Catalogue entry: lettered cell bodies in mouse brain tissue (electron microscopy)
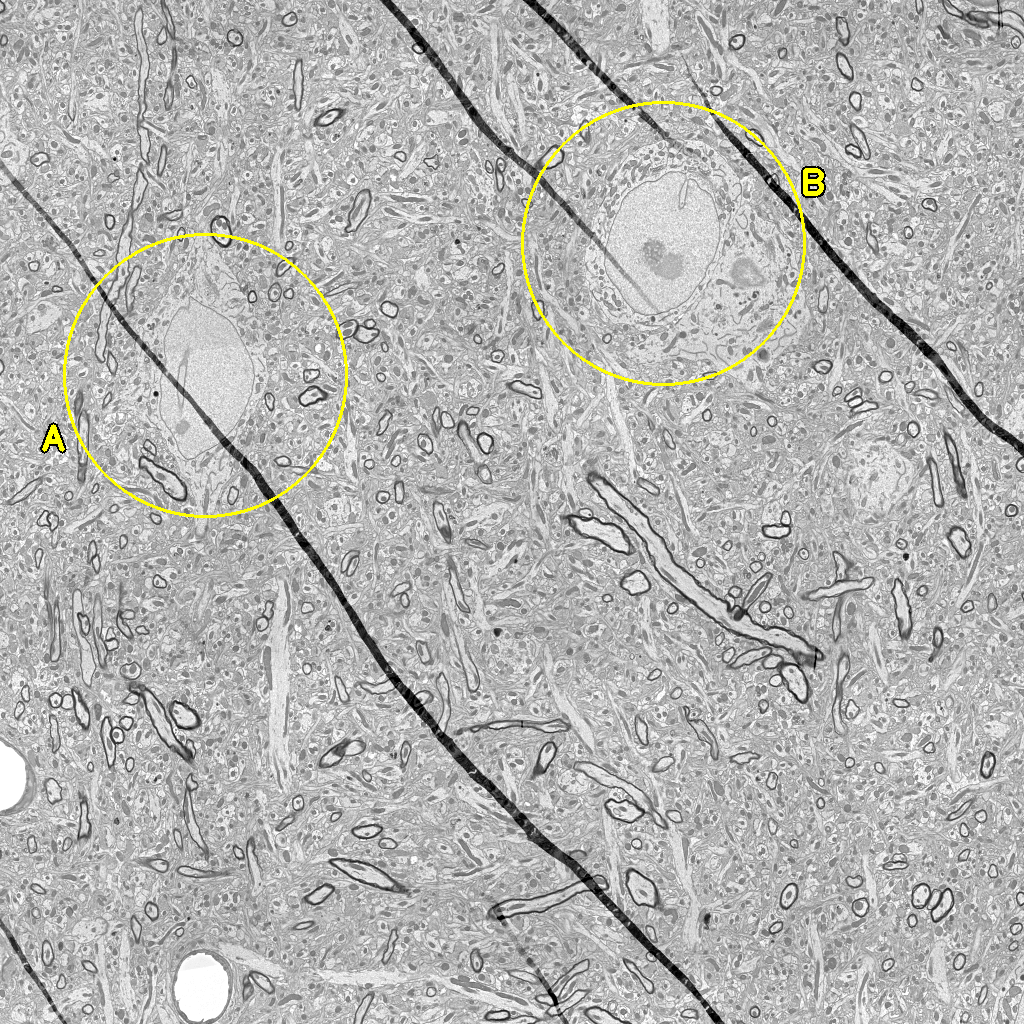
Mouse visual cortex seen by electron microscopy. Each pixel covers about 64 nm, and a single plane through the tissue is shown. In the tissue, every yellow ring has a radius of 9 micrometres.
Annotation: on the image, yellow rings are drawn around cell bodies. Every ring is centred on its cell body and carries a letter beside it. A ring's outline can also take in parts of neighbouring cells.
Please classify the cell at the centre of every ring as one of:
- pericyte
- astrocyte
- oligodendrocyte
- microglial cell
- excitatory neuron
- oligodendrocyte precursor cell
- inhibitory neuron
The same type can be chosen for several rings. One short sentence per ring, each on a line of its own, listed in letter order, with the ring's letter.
Ring A is classified as an excitatory neuron.
Ring B is classified as an inhibitory neuron.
